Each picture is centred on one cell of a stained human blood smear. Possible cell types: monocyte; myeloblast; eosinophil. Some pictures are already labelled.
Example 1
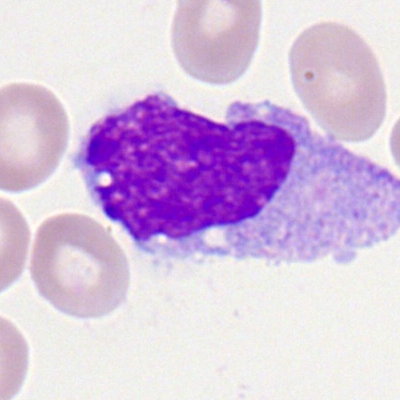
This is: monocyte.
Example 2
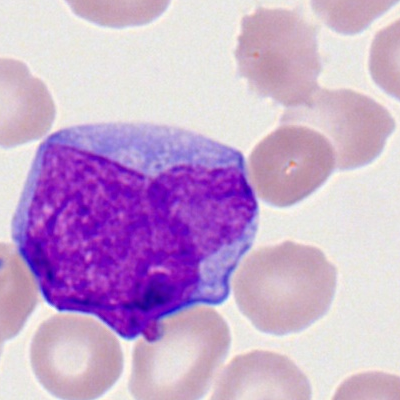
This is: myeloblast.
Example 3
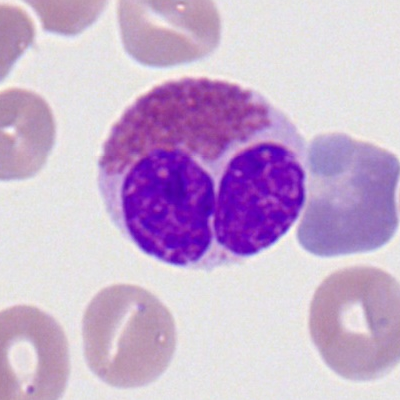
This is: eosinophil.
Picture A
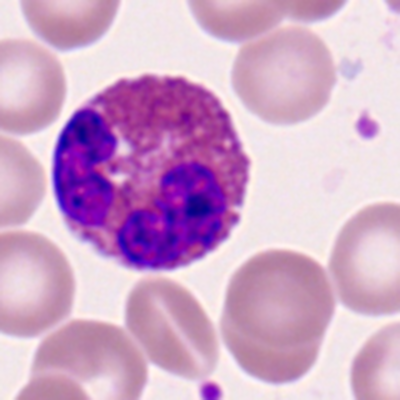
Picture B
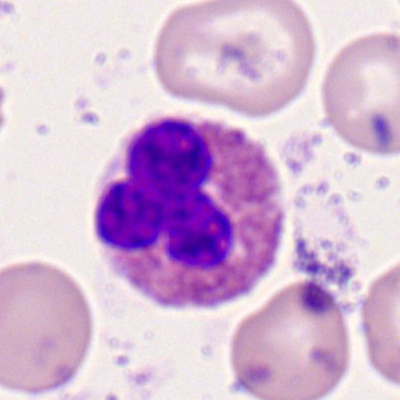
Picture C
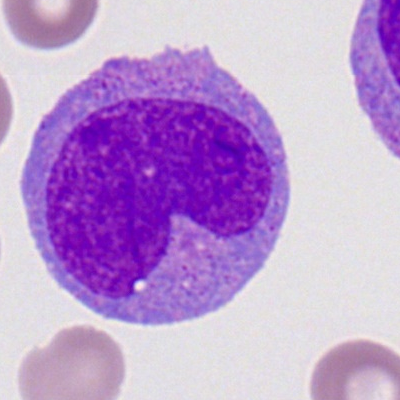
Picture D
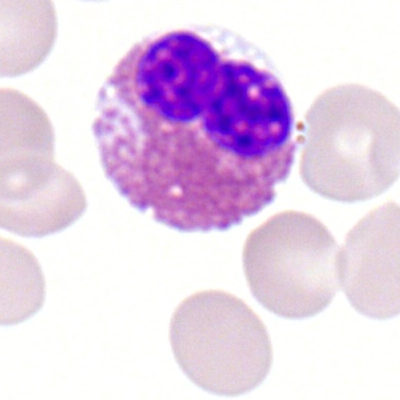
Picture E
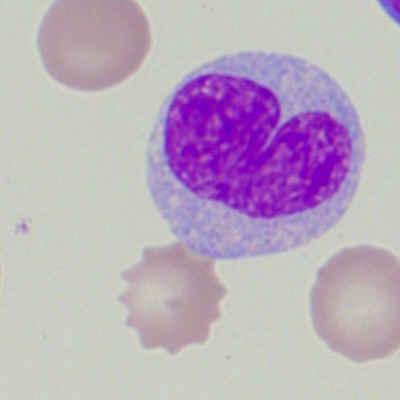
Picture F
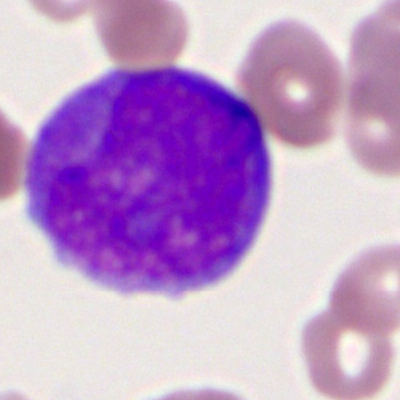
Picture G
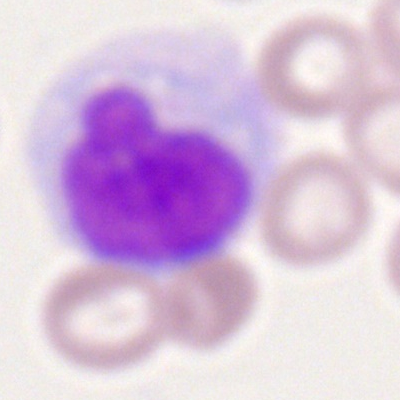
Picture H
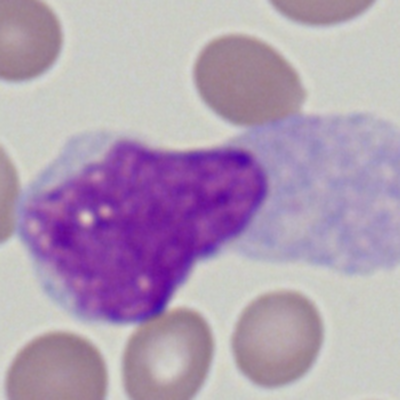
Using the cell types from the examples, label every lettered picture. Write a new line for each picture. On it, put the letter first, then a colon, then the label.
A: eosinophil.
B: eosinophil.
C: myeloblast.
D: eosinophil.
E: monocyte.
F: myeloblast.
G: monocyte.
H: monocyte.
